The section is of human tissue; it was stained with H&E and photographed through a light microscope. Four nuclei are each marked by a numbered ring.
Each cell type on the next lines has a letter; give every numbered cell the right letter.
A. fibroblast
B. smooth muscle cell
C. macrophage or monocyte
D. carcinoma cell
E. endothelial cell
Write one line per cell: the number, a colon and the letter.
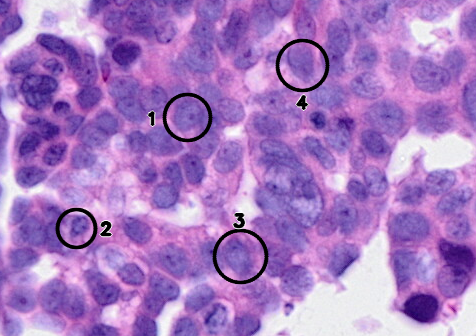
1: D
2: C
3: D
4: D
